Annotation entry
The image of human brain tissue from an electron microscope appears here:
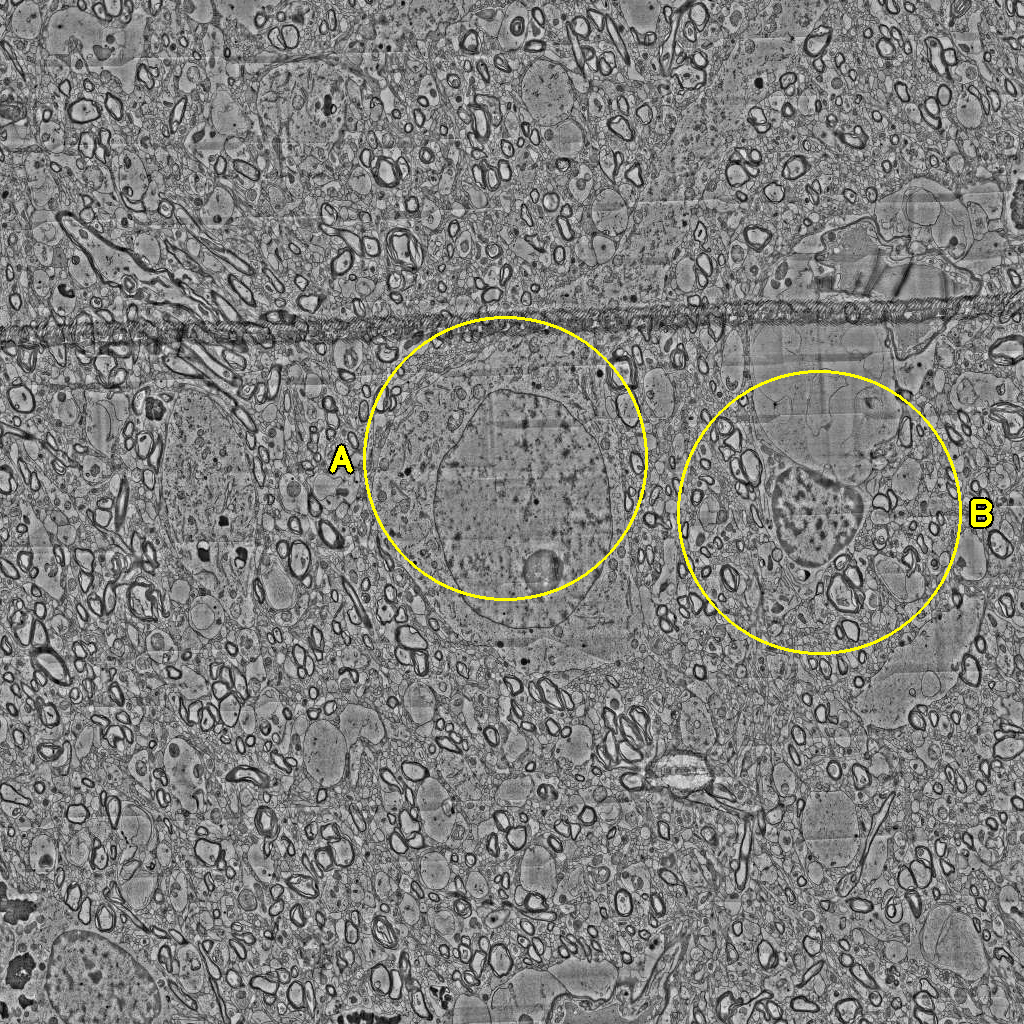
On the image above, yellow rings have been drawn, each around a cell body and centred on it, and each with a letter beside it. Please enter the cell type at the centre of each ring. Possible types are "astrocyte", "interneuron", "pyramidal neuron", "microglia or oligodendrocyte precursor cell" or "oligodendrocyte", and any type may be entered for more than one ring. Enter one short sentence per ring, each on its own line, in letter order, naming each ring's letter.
The cell that ring A is centred on is a pyramidal neuron.
The cell that ring B is centred on is a microglial cell or oligodendrocyte precursor cell.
